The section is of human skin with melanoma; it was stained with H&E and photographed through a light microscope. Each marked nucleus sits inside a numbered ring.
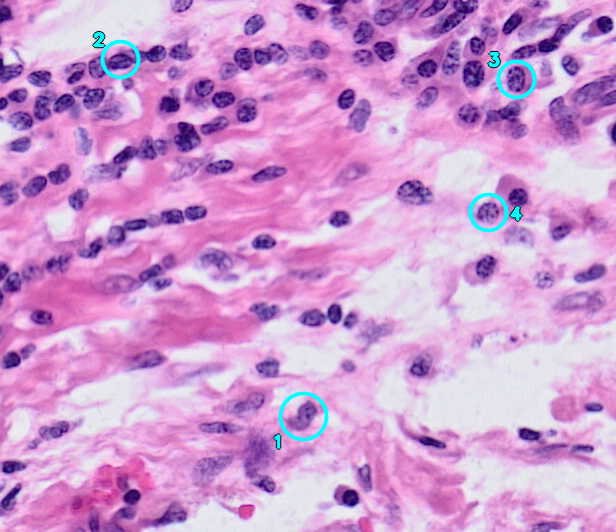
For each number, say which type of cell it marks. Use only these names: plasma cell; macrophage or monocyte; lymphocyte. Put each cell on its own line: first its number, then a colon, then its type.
1: macrophage or monocyte
2: lymphocyte
3: plasma cell
4: plasma cell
